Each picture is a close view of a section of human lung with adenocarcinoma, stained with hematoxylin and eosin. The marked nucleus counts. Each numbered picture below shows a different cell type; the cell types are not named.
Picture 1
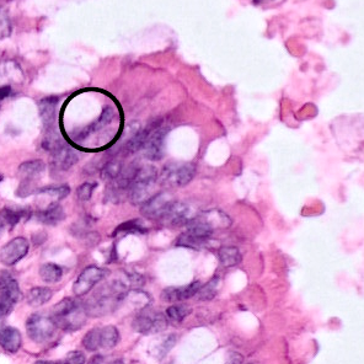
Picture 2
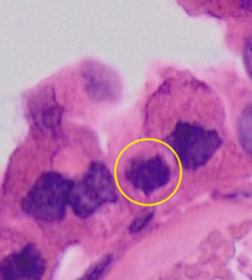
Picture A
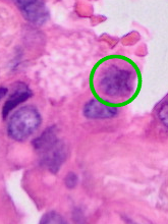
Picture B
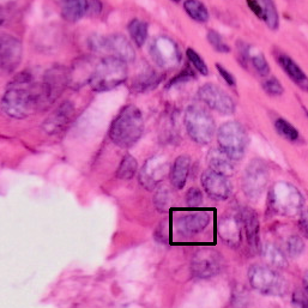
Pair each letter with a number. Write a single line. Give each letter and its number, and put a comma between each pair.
A 2, B 1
